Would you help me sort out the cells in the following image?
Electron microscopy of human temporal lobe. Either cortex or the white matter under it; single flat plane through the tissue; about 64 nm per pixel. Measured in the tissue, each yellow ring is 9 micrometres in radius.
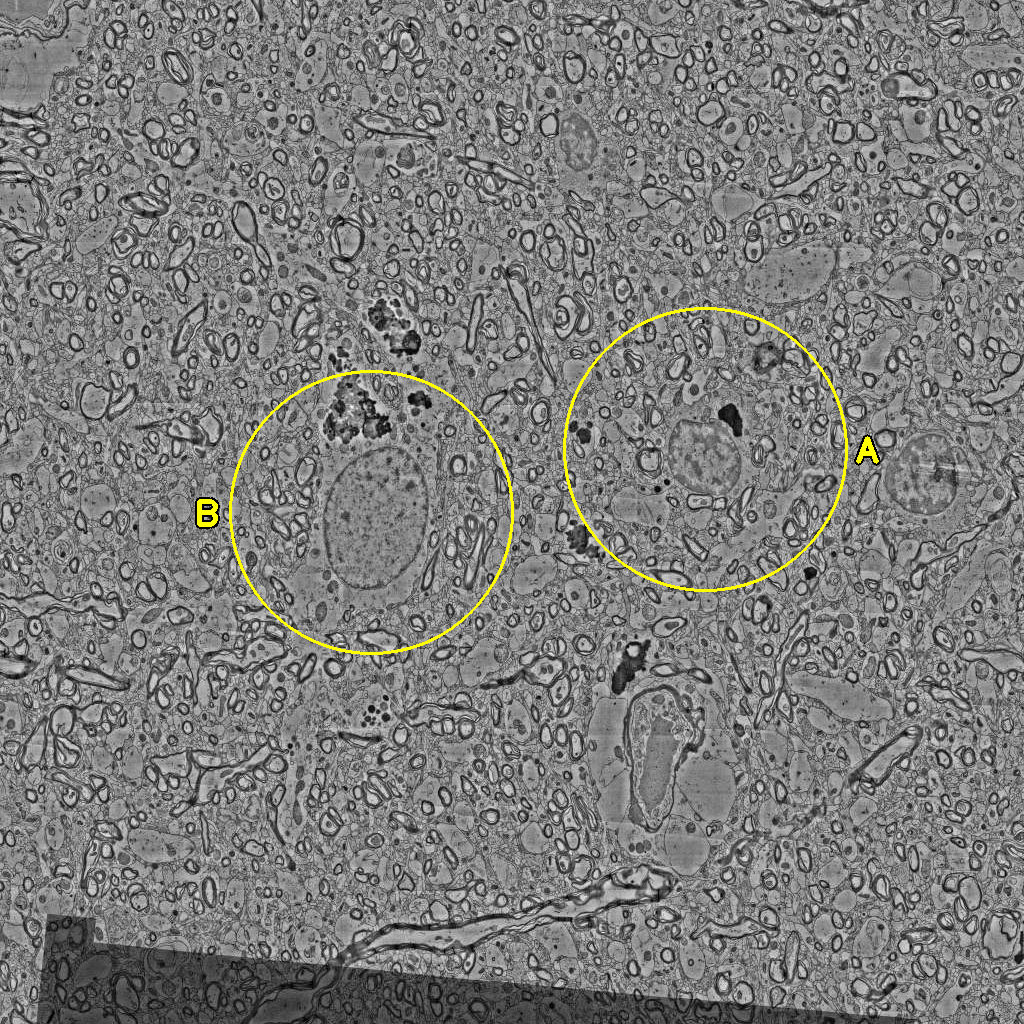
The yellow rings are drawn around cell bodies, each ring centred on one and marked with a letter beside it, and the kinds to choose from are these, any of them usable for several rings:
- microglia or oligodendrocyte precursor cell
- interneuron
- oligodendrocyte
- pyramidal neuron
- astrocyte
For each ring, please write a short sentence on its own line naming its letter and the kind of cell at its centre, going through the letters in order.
Ring A is centred on the cell body of an oligodendrocyte.
Ring B is centred on the cell body of an astrocyte.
